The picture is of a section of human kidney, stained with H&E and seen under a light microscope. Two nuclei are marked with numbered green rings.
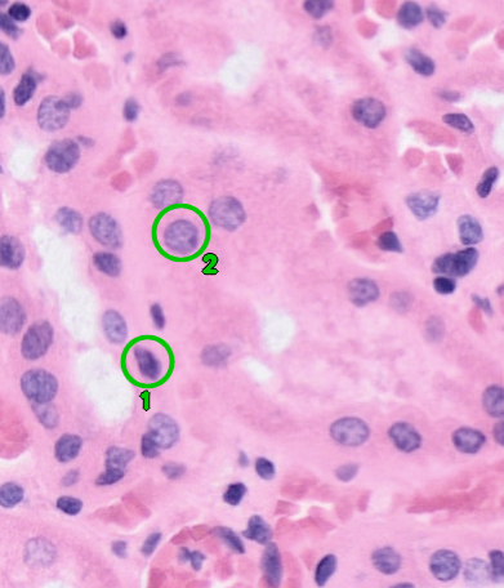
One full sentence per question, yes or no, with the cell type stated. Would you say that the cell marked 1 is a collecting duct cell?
Yes, as for number 1, the cell is a collecting duct cell.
